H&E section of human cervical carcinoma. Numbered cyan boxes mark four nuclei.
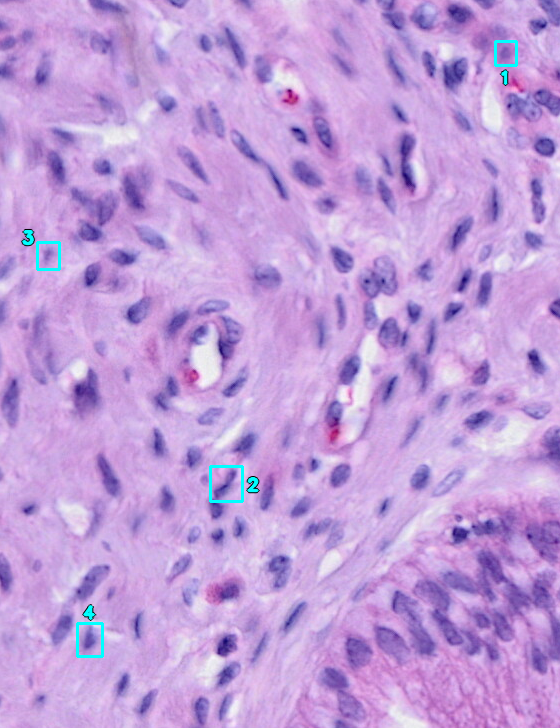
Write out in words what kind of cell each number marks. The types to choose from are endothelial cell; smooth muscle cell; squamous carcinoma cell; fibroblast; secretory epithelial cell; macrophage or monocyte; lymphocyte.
Cell 1 is an endothelial cell, cell 2 is a fibroblast, cell 3 is a fibroblast and cell 4 is a fibroblast.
